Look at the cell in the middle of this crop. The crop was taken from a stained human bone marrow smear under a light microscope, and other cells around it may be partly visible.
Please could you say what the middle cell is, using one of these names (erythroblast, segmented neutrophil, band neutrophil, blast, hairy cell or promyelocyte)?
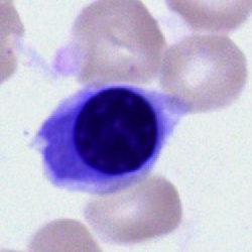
erythroblast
